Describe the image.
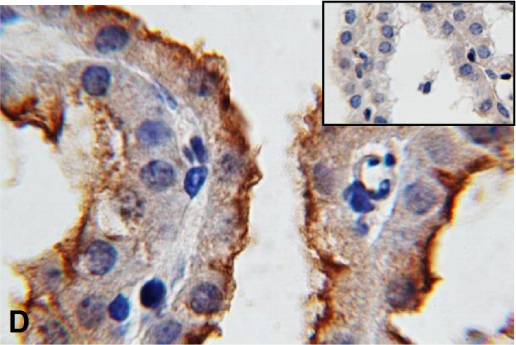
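The epithelial cells have round, pale blue nuclei with visible nucleoli and a lightly granular cytoplasm. A dense brown line runs along the apical surface of the epithelium where it faces the open space, while the rest of the cytoplasm is only faintly tinted. The open spaces between the fronds are empty.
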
